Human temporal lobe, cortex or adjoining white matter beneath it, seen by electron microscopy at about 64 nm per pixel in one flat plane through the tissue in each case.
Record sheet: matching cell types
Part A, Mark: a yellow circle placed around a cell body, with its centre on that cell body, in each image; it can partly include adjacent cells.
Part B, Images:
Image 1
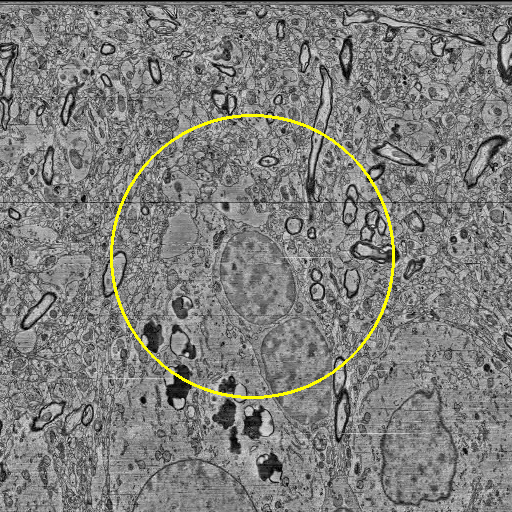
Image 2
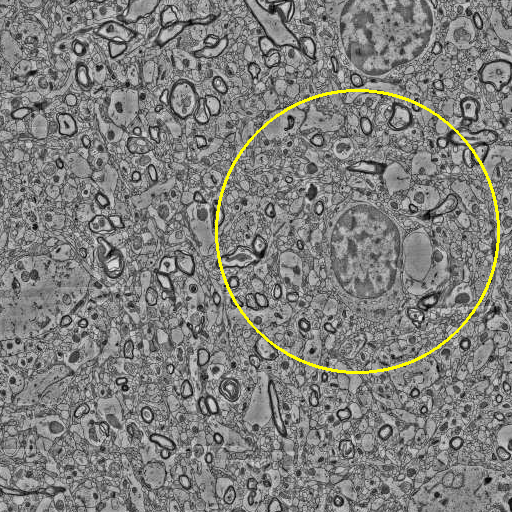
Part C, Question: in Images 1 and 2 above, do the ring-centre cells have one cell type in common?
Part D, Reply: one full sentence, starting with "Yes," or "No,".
Yes, the ring-centre cells of Image 1 and Image 2 are both of a single cell type.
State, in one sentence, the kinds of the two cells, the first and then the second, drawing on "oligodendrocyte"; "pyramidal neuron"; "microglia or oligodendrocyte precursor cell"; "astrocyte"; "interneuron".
Each of the two cells is an oligodendrocyte.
